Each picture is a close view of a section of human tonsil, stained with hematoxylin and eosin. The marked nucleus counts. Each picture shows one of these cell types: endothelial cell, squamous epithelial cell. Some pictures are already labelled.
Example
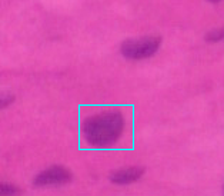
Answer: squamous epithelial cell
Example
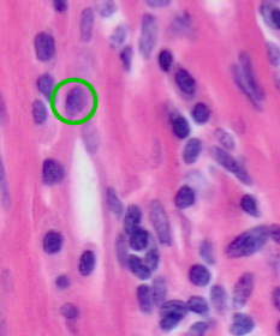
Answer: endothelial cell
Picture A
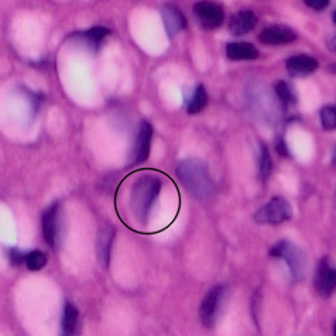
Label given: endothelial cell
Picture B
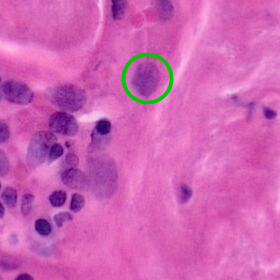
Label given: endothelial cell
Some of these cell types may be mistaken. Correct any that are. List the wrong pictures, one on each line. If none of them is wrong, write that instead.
A: change endothelial cell to squamous epithelial cell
